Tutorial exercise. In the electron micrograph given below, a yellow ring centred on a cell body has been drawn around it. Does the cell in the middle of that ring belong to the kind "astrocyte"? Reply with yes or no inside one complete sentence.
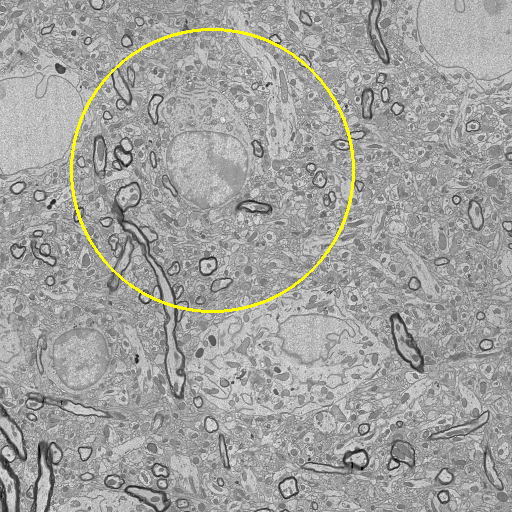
No, the cell at the centre of the ring in the picture is of a different kind.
